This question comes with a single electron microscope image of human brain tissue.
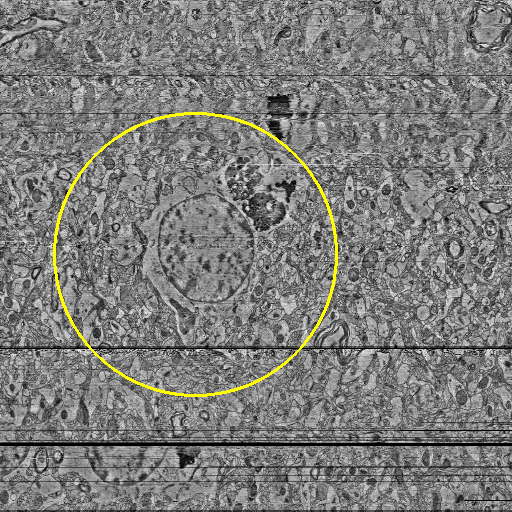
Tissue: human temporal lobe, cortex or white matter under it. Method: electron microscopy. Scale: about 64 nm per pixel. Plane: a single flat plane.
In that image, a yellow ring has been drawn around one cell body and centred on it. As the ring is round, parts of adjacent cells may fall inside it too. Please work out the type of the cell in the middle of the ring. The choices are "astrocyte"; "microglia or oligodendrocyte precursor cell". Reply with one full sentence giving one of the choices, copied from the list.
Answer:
Of the choices, an astrocyte is the cell sitting in the middle of the ring.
